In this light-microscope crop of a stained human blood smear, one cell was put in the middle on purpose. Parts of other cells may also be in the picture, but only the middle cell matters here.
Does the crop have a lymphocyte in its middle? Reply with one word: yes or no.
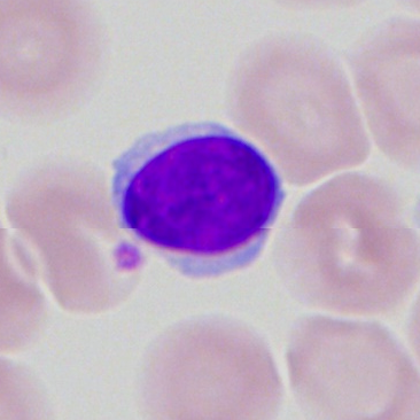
yes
